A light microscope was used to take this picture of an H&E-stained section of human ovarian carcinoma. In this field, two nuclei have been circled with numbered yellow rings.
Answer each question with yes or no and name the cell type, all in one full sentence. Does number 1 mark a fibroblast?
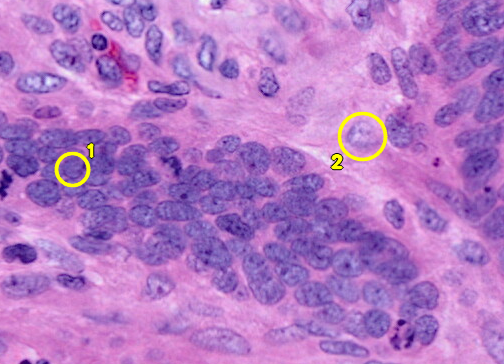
No, cell 1 is a carcinoma cell and should not be called a fibroblast.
